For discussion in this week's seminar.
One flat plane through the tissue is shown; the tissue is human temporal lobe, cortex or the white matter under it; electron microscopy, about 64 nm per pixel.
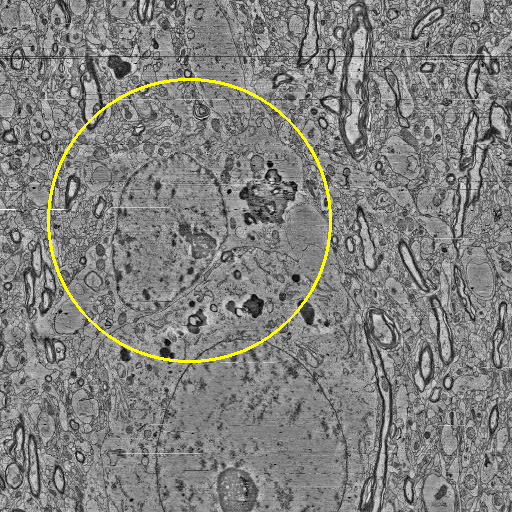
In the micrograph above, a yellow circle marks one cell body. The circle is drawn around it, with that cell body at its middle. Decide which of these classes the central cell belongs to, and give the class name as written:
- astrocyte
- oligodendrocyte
astrocyte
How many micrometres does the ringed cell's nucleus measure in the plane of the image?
The nucleus works out at approximately 11 by 7 micrometres in this plane.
